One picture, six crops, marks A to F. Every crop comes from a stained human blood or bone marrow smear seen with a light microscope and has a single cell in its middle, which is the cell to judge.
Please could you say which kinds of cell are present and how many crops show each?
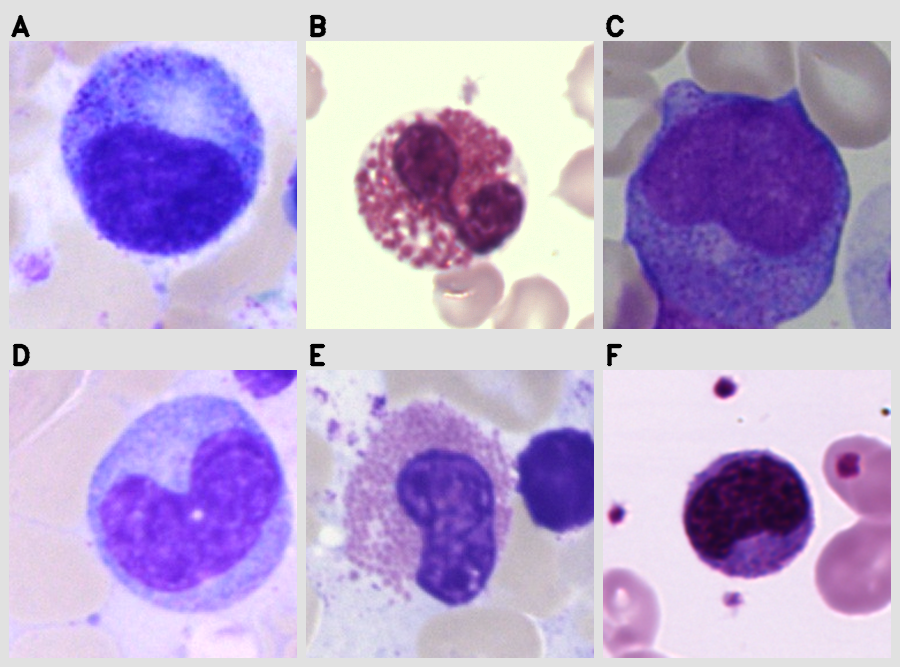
promyelocyte: 2
eosinophil: 2
monocyte: 2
